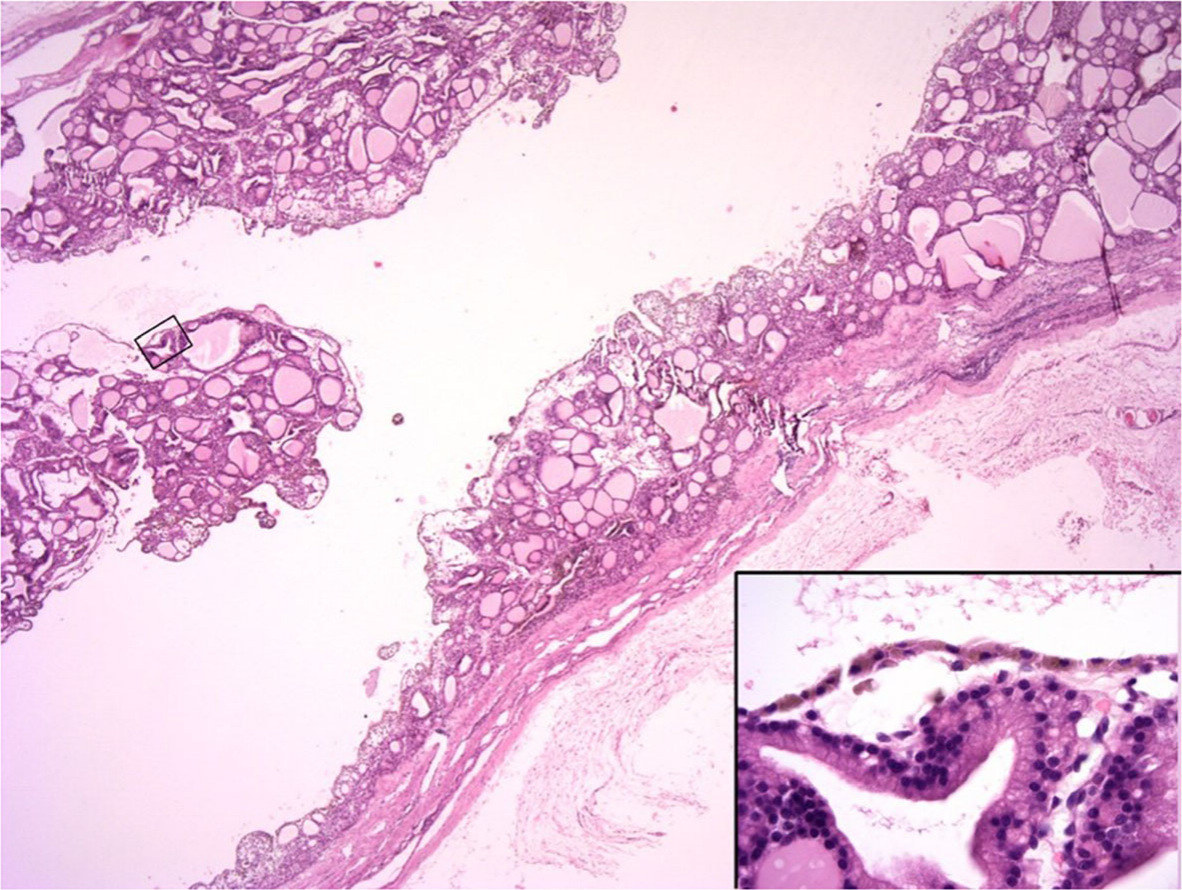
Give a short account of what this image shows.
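Thyroid tissue made of many follicles lines the edges of a large, nearly empty cystic cavity that crosses the centre of the field. The follicles vary greatly in size and are filled with pink homogeneous colloid, some of it cracked. A pink band of fibrous tissue runs beneath the follicles along the lower right.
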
